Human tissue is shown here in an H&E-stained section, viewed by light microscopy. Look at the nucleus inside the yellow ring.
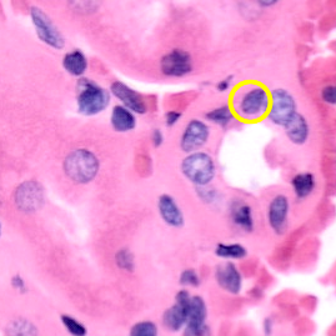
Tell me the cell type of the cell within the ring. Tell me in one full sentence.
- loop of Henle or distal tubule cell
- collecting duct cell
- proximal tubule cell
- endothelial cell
In this preparation, the cell within the ring is a collecting duct cell.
